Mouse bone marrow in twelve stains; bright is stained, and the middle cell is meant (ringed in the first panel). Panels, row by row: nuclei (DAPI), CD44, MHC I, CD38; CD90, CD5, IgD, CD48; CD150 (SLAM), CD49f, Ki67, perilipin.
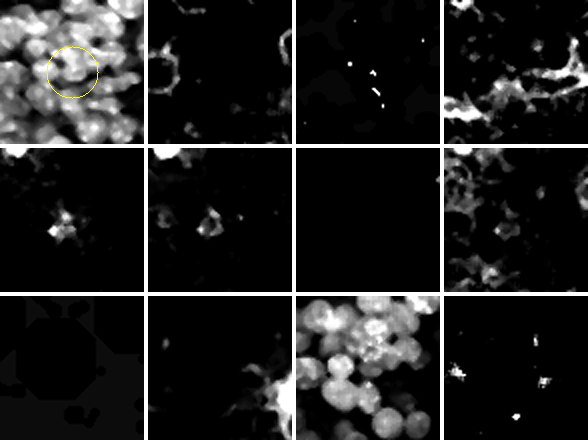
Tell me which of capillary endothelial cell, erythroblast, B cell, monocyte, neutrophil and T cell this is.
The picture shows a capillary endothelial cell.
